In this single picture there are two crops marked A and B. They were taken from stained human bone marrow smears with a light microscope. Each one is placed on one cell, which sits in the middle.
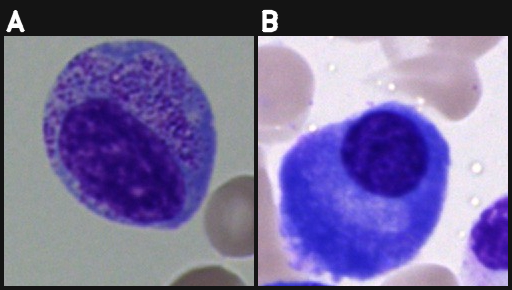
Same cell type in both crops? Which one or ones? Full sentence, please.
No, crop A captures a promyelocyte; meanwhile crop B captures a plasma cell.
